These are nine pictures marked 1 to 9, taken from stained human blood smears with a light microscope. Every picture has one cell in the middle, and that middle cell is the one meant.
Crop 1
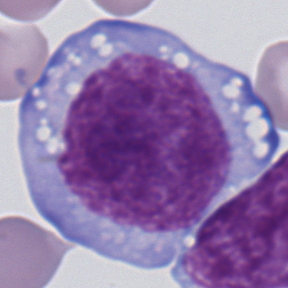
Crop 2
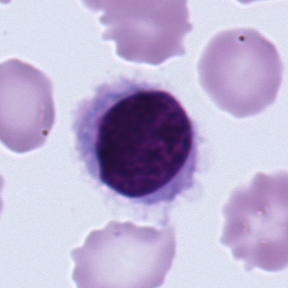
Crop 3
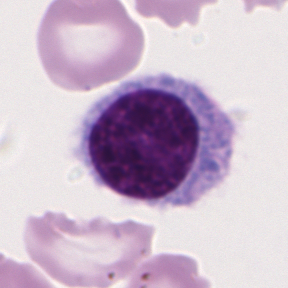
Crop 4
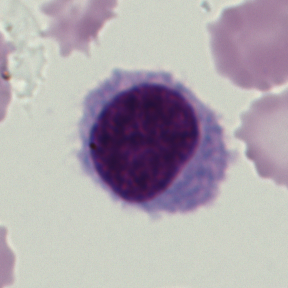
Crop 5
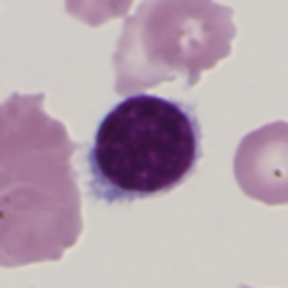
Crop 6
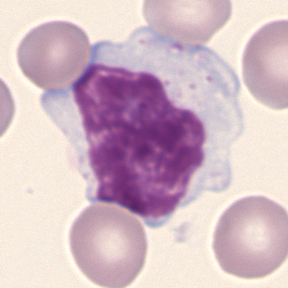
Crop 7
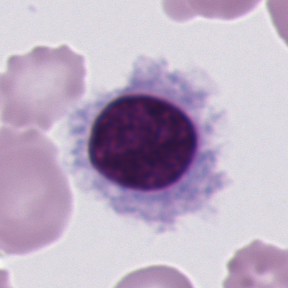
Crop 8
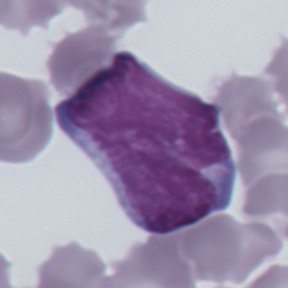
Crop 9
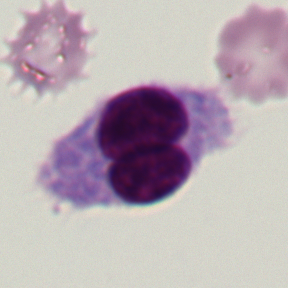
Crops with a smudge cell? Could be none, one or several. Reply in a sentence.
This set of crops does not include a smudge cell at all.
